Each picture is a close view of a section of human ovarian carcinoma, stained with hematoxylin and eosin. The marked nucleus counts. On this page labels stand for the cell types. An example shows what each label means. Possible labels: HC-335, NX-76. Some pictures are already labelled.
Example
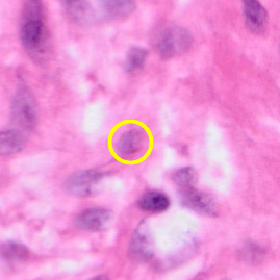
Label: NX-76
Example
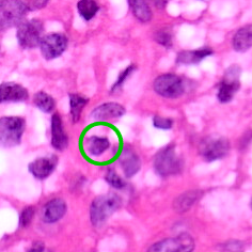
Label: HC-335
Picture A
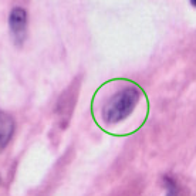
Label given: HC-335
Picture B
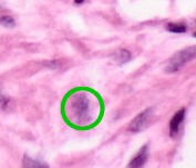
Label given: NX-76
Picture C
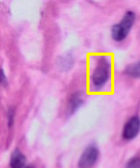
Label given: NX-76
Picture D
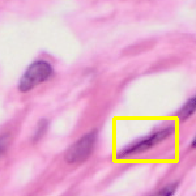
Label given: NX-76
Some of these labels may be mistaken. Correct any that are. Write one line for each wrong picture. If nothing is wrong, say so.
Wrong: A (HC-335); correct: NX-76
